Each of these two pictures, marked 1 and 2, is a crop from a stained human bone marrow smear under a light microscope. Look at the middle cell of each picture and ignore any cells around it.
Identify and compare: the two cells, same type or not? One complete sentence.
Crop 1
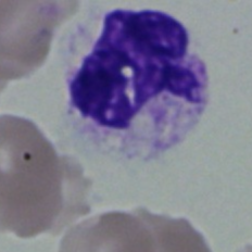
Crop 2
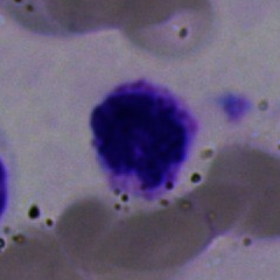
No, a basophil is in crop 2, and a neutrophil is in crop 1.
